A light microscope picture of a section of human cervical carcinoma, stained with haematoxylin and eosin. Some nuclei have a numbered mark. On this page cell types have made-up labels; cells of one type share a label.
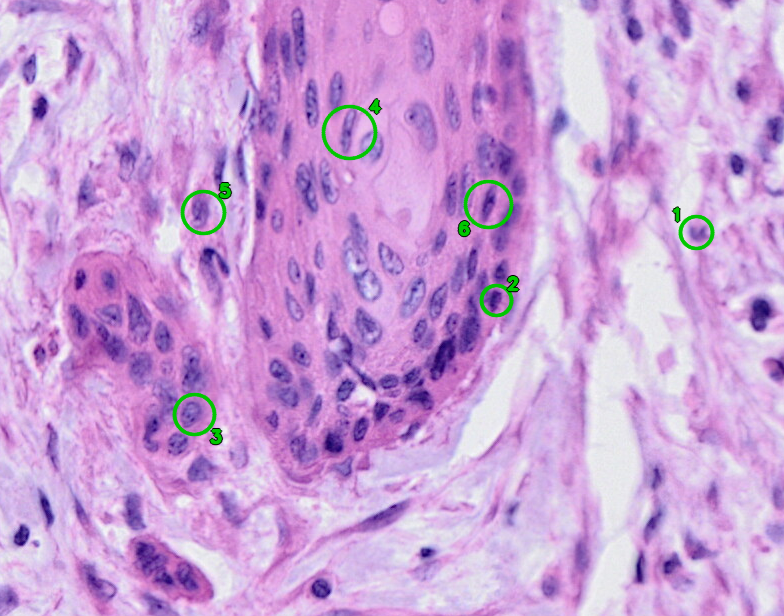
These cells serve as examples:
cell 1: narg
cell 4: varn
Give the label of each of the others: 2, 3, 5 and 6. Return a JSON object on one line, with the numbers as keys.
{"2": "varn", "3": "varn", "5": "narg", "6": "varn"}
